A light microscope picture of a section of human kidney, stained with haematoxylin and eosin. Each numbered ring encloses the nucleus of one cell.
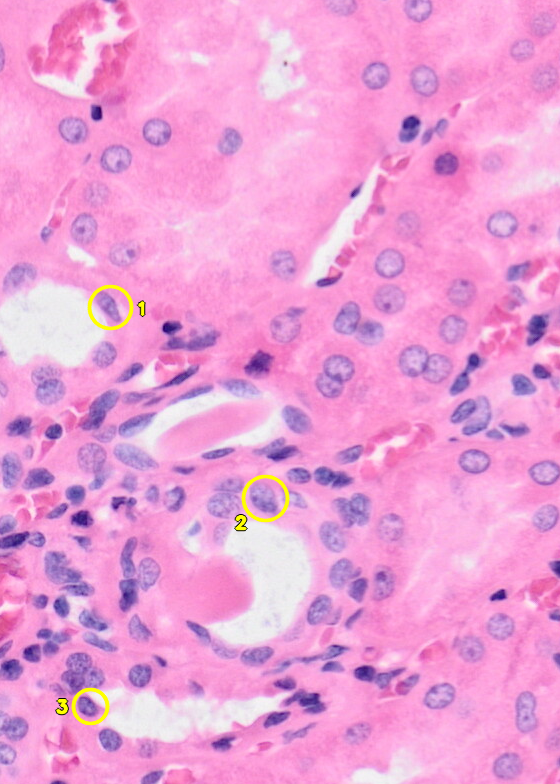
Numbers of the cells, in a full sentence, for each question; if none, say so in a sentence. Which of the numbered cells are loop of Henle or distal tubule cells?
The cells that the numbers 1 and 3 belong to are loop of Henle or distal tubule cells.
